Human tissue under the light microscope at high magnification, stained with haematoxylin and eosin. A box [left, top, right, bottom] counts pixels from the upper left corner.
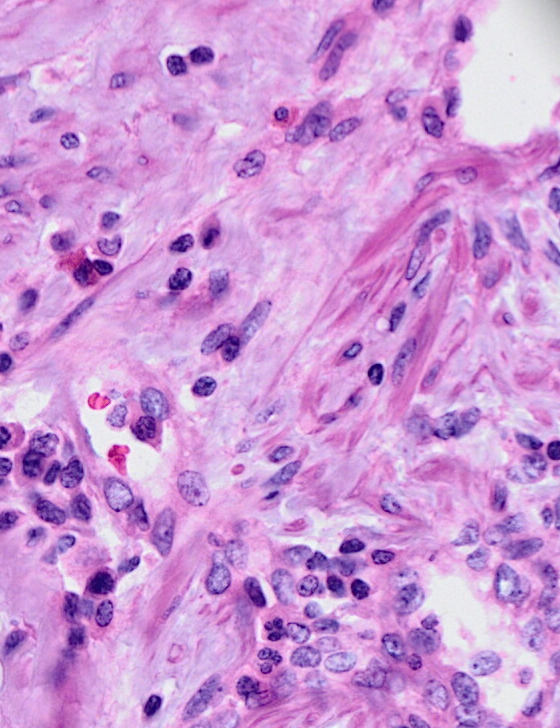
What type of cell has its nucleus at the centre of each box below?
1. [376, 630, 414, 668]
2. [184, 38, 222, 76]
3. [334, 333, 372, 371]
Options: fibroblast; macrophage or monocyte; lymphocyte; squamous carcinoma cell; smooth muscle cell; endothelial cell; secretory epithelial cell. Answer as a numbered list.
1. endothelial cell
2. lymphocyte
3. smooth muscle cell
